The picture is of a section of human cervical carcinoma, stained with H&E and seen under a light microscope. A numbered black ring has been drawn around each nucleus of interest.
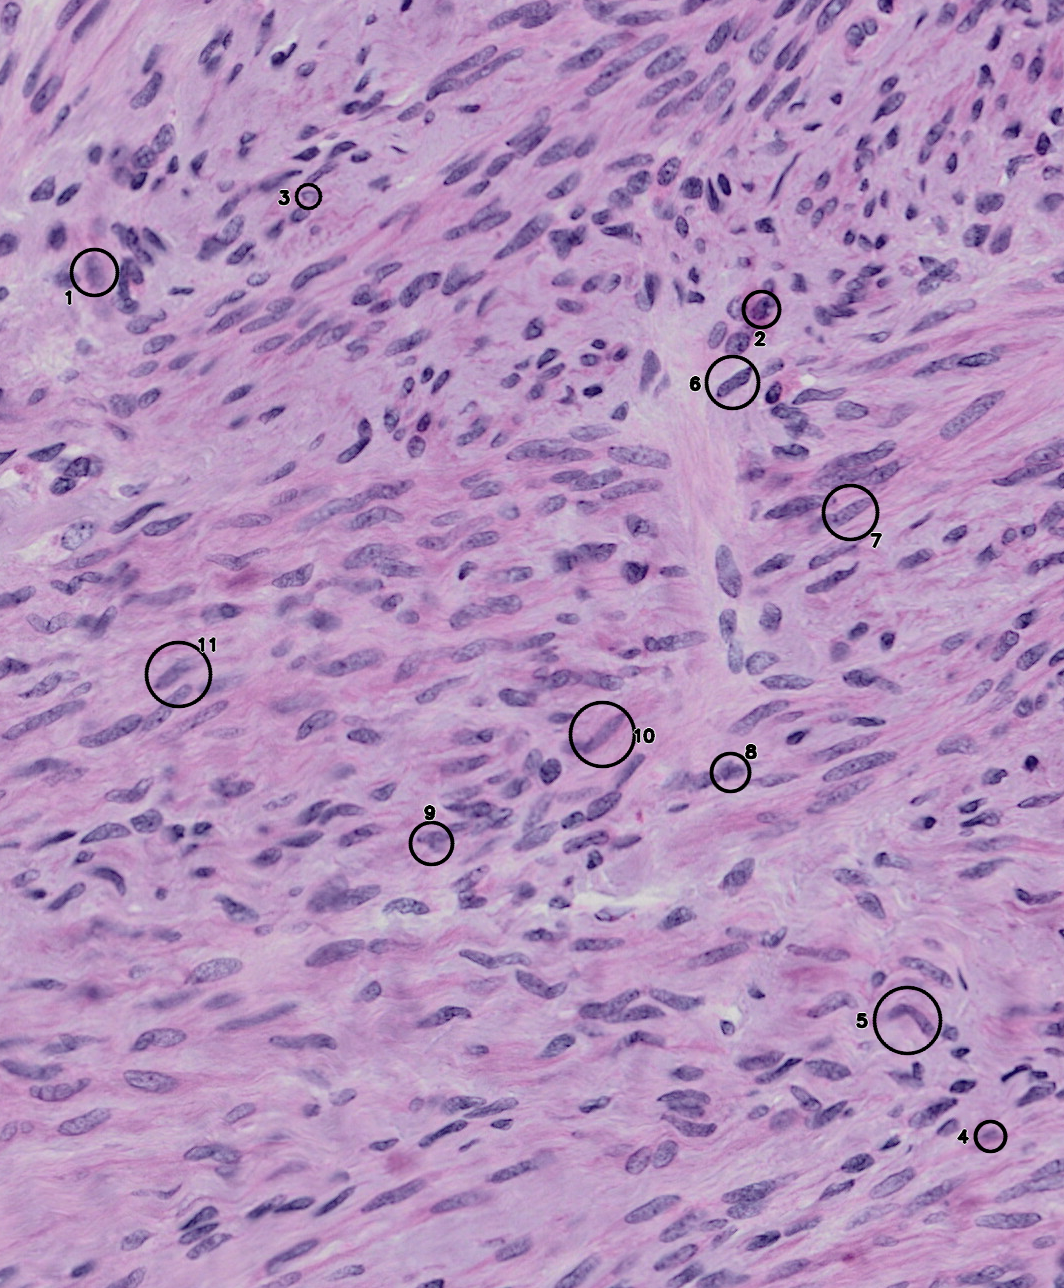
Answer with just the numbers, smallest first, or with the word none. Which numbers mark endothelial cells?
1, 2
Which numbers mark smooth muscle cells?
3, 4, 5, 7, 10, 11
